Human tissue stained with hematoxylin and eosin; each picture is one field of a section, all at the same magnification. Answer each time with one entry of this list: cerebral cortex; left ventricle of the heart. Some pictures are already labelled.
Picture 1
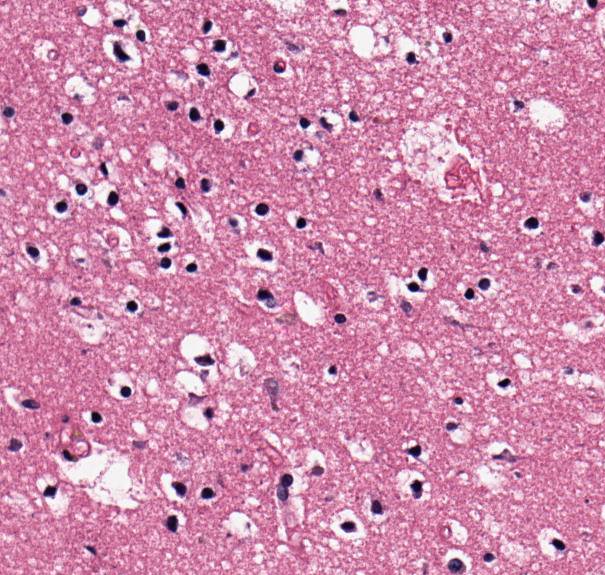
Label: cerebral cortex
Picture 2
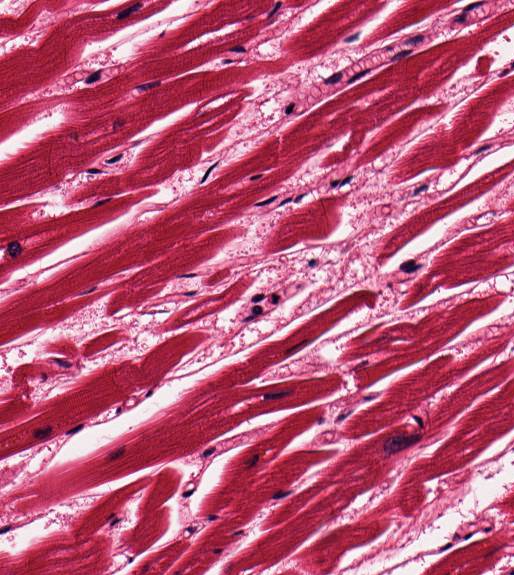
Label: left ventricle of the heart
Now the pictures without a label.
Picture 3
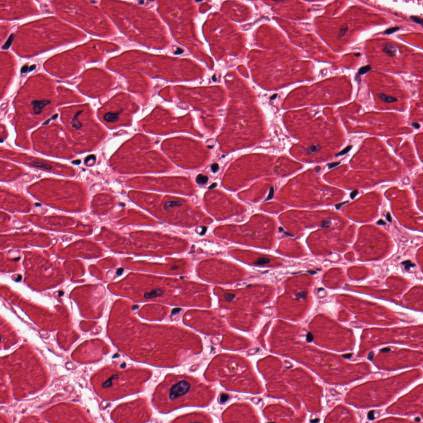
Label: left ventricle of the heart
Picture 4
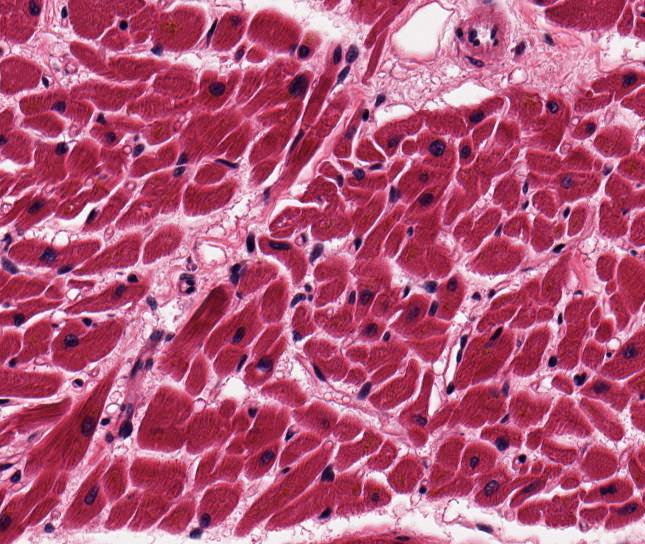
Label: left ventricle of the heart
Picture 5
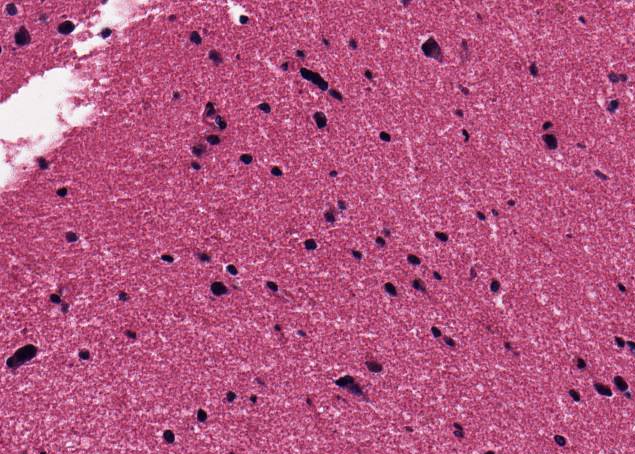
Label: cerebral cortex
